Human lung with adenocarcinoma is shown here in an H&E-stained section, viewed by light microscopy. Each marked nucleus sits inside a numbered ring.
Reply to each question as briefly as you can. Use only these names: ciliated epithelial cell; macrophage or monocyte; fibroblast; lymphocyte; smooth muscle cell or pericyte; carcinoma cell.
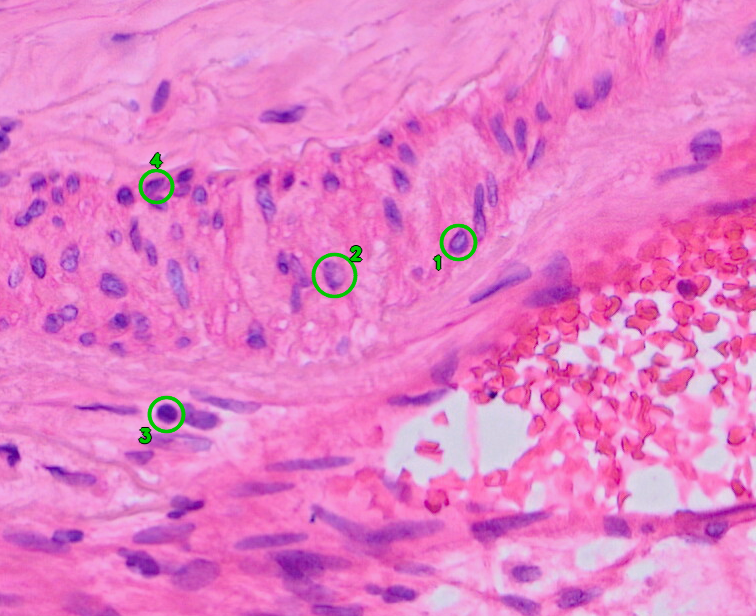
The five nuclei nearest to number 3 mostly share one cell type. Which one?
smooth muscle cell or pericyte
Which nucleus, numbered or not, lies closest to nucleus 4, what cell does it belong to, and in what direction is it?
a smooth muscle cell or pericyte; below nucleus 4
